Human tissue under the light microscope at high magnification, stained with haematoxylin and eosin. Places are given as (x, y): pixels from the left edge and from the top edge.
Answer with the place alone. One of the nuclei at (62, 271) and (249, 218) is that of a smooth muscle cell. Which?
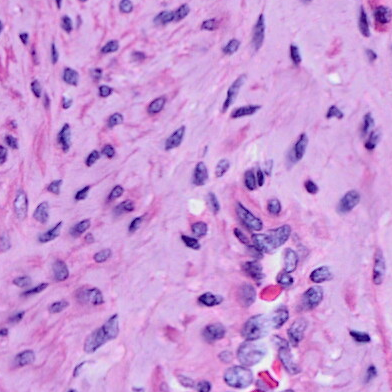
(62, 271)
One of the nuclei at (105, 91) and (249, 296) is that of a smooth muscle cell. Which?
(105, 91)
